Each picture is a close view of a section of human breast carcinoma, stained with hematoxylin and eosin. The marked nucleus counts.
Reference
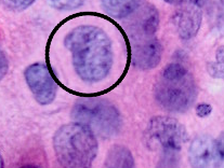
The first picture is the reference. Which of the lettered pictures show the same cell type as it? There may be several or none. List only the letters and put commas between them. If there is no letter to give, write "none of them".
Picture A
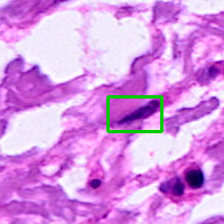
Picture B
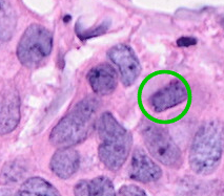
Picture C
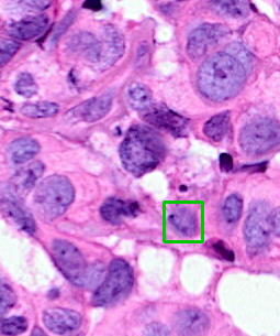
B, C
